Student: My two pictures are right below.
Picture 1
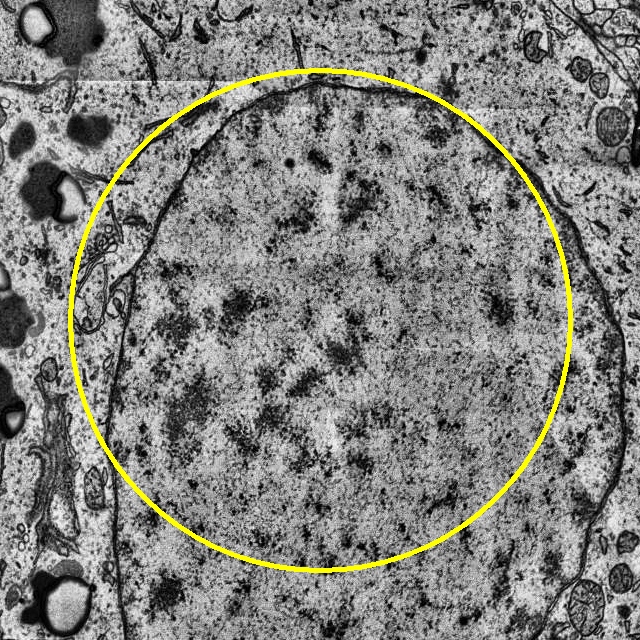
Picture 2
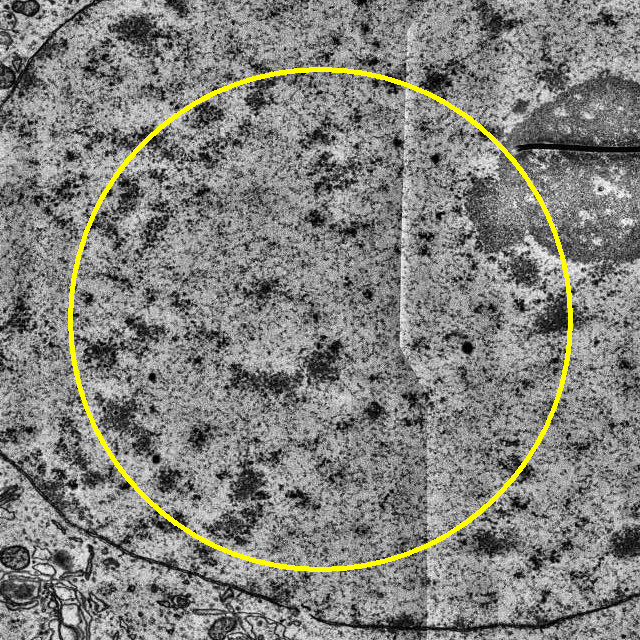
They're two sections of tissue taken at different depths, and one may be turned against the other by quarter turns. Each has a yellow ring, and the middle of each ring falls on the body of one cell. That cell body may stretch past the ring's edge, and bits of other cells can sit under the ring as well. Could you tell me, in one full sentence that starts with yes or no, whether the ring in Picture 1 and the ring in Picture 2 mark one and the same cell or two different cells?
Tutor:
Yes, only one cell is involved, and both rings mark it.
